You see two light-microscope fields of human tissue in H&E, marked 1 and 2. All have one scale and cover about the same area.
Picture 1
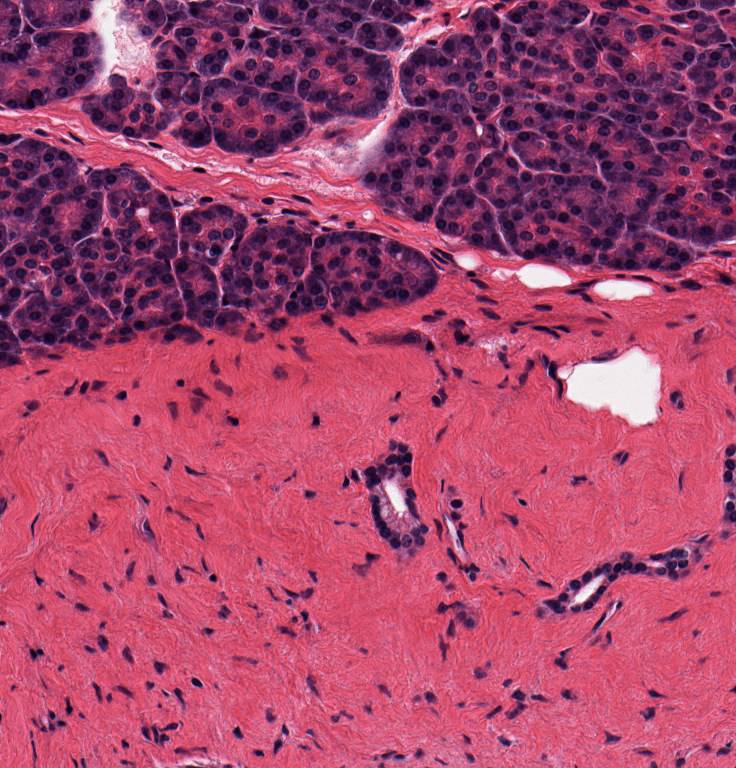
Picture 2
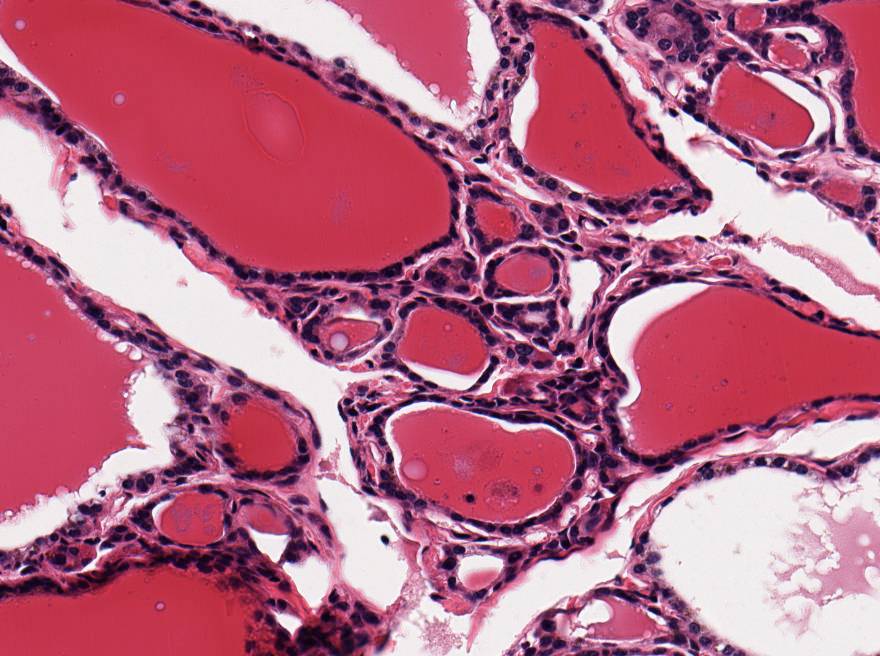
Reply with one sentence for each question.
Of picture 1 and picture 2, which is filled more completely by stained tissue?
Picture 1 has less white space.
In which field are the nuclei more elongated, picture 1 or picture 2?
It is picture 2 whose nuclei are the more elongated.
